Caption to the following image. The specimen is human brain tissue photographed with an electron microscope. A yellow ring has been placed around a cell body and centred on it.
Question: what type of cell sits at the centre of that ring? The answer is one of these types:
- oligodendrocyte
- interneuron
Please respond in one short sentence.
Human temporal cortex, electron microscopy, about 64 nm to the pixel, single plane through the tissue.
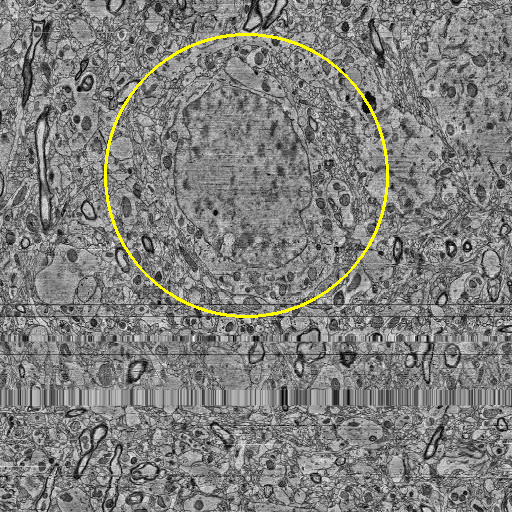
The ring surrounds the cell body of an interneuron.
